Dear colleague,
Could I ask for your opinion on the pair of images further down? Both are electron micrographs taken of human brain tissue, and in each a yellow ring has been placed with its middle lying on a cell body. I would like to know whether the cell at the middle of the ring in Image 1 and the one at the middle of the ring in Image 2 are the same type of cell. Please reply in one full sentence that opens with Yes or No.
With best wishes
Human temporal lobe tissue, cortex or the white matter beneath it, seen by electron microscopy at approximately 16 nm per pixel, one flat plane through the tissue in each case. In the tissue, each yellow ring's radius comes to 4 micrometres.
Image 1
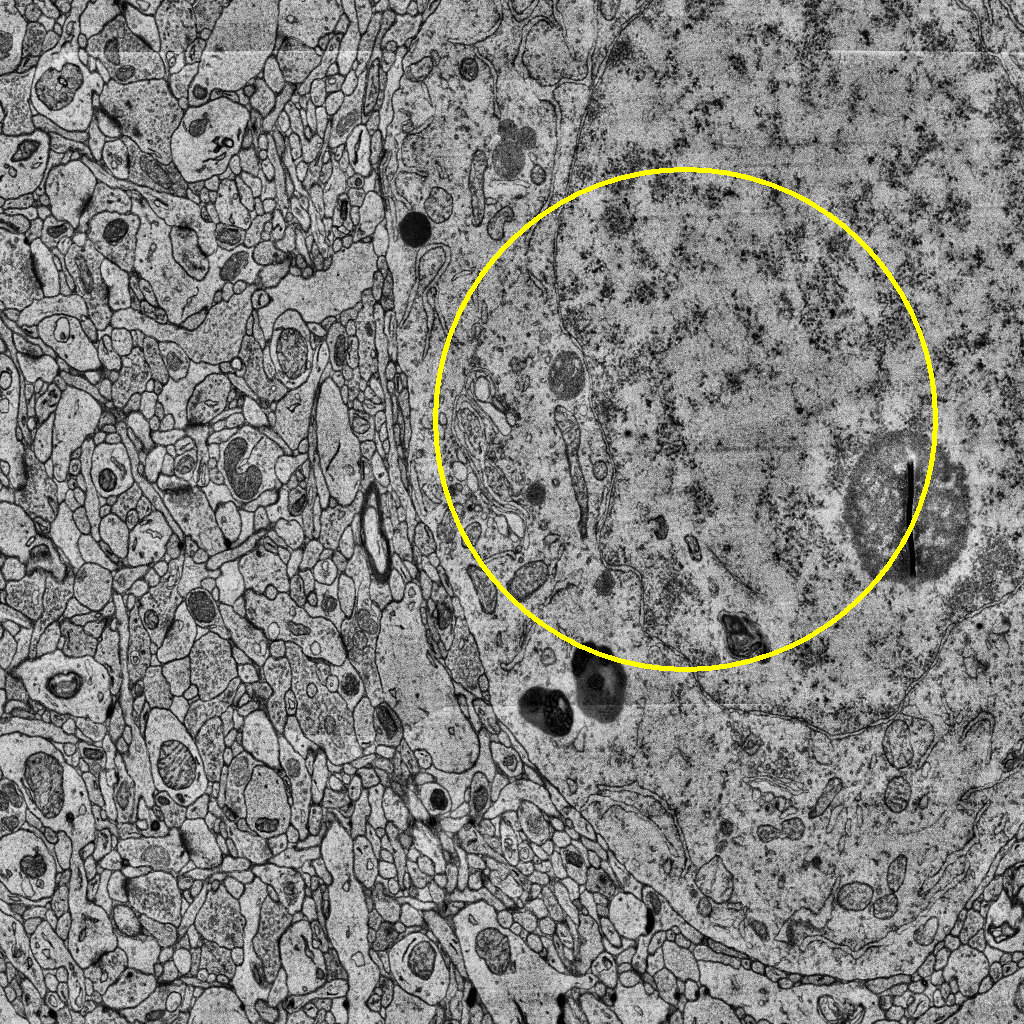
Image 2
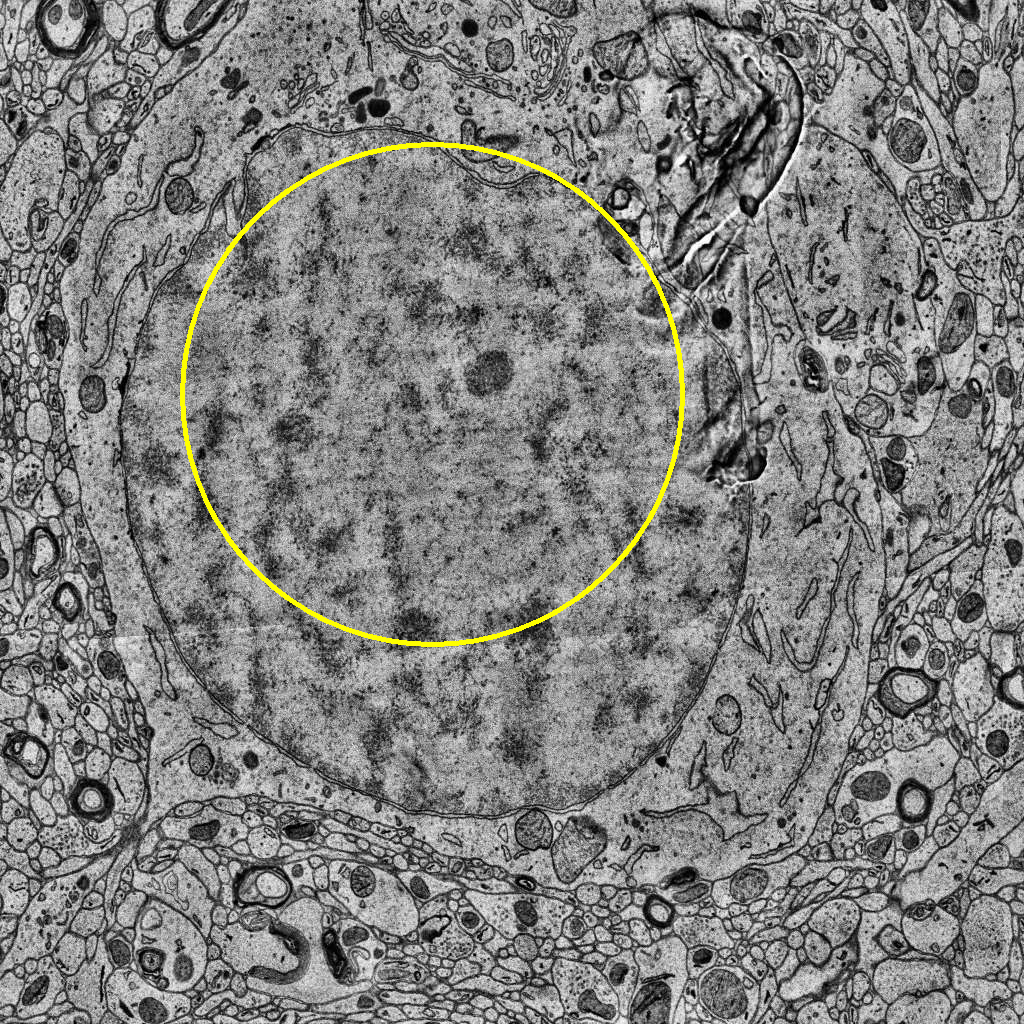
Yes, the cells at the ring centres in Image 1 and Image 2 are of one type.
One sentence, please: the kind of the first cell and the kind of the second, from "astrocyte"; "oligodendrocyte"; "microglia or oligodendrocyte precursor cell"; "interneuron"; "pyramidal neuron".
Each of the two pictures has an interneuron at the ring centre.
